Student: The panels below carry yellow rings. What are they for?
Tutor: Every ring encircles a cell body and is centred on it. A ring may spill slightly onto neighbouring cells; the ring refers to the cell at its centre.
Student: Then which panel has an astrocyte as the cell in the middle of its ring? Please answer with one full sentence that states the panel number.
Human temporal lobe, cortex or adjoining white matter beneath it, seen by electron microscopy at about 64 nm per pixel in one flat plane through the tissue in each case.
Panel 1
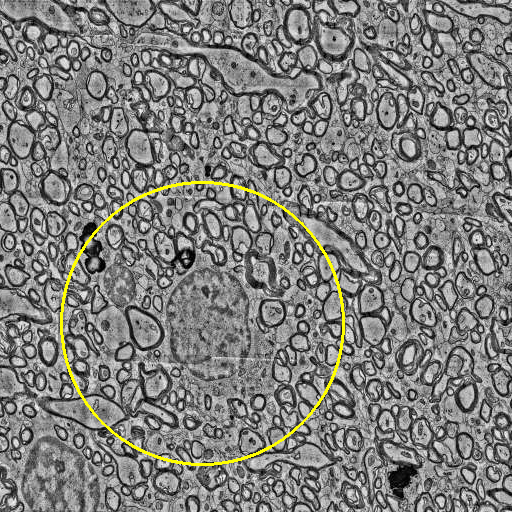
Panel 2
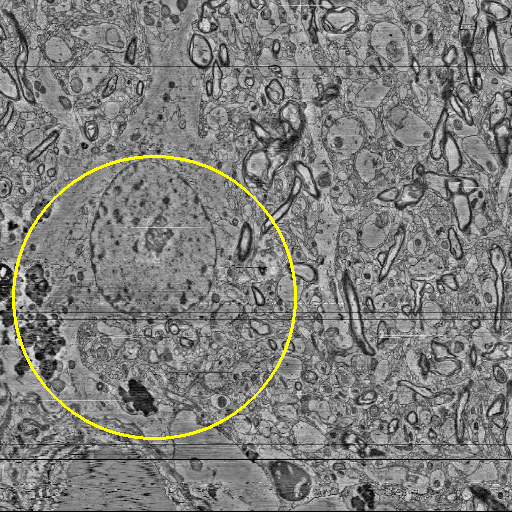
In Panel 2, the cell centred in the ring is the one sought.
